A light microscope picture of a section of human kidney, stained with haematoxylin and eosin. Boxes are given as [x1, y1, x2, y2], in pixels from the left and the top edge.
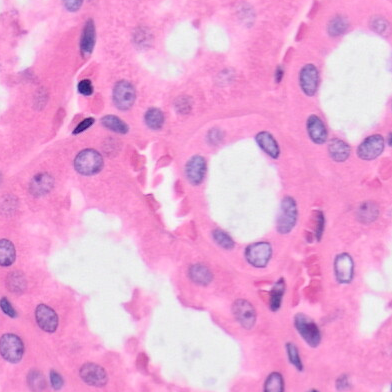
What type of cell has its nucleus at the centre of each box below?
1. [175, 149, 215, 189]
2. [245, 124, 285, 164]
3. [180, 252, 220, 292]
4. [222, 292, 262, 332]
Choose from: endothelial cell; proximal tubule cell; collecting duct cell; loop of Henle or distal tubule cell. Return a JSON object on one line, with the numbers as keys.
{"1": "loop of Henle or distal tubule cell", "2": "loop of Henle or distal tubule cell", "3": "proximal tubule cell", "4": "proximal tubule cell"}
